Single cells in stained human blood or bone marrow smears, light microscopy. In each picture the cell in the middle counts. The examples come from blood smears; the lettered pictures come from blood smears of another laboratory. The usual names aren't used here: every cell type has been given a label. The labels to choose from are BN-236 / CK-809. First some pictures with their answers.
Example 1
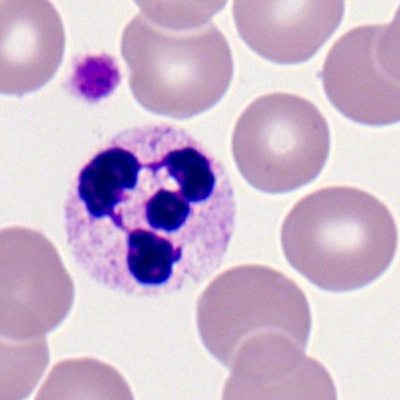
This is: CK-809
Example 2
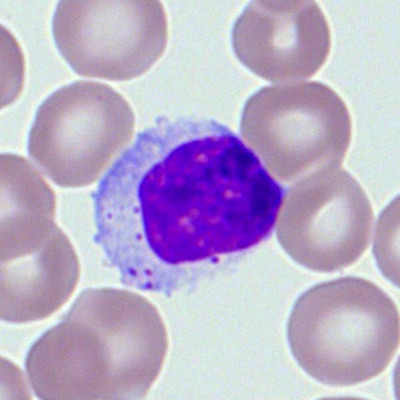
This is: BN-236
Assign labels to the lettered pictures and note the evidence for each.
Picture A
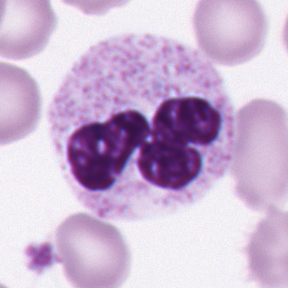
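CK-809: The cytoplasm is abundant and pale pink.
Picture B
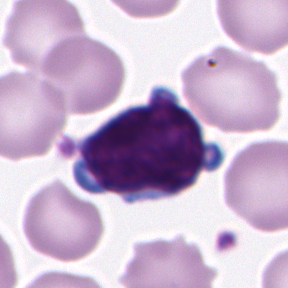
BN-236: The nucleus fills almost the whole cell, leaving only a scant rim of cytoplasm.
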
